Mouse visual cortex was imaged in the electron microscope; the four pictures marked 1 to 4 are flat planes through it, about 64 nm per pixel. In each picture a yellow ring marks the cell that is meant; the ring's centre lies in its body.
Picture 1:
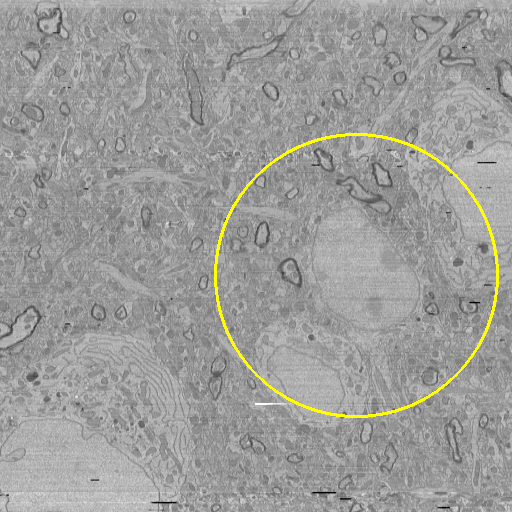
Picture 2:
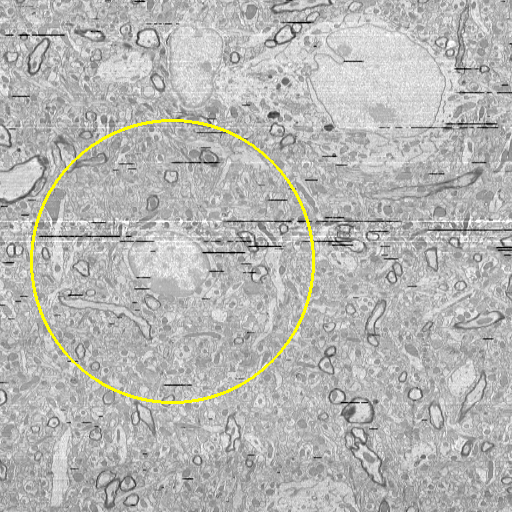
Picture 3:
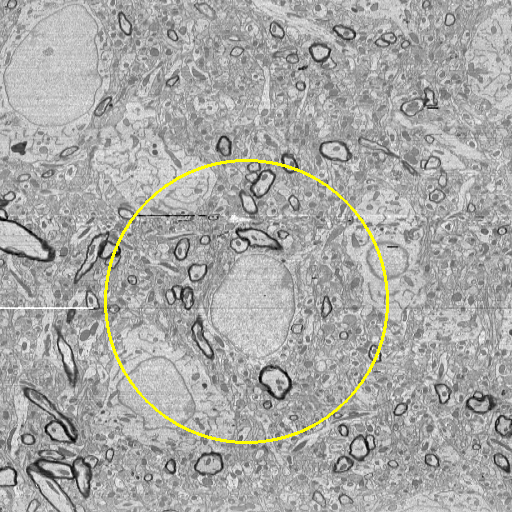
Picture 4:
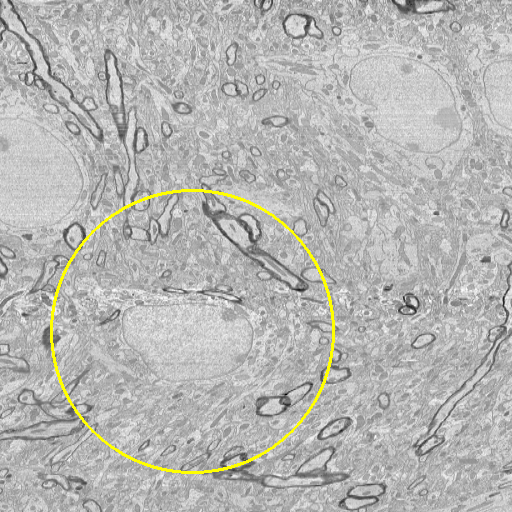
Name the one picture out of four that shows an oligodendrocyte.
Picture 2 is the one that shows the oligodendrocyte.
